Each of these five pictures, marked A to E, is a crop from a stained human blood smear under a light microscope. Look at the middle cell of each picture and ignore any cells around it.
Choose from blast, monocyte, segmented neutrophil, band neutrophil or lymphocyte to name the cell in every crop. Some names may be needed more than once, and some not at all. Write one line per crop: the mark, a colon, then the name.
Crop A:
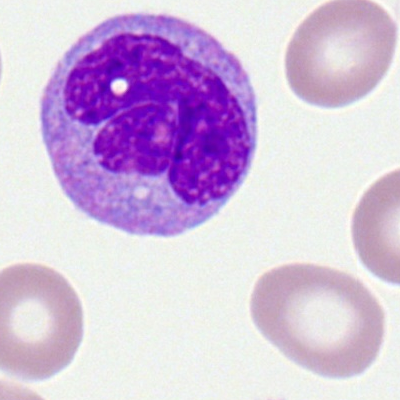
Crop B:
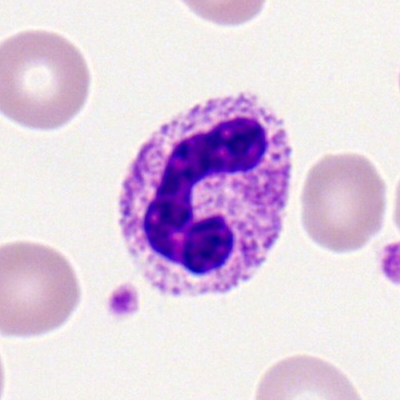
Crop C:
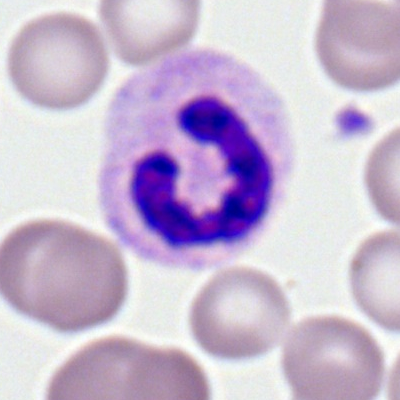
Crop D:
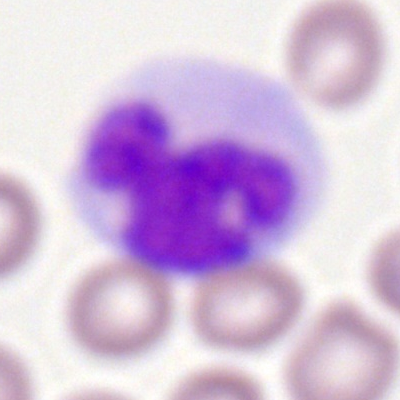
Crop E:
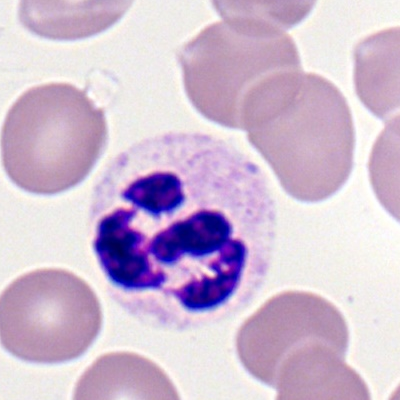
A: monocyte
B: band neutrophil
C: band neutrophil
D: monocyte
E: segmented neutrophil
